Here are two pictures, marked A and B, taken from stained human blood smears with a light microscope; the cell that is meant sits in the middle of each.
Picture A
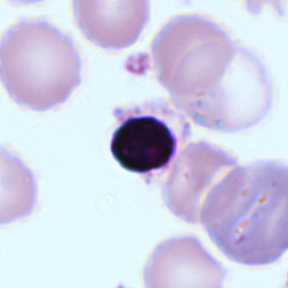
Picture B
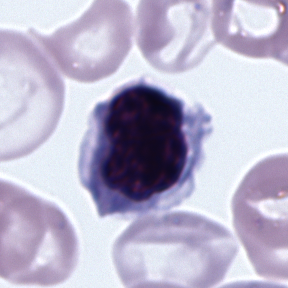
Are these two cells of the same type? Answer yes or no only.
yes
